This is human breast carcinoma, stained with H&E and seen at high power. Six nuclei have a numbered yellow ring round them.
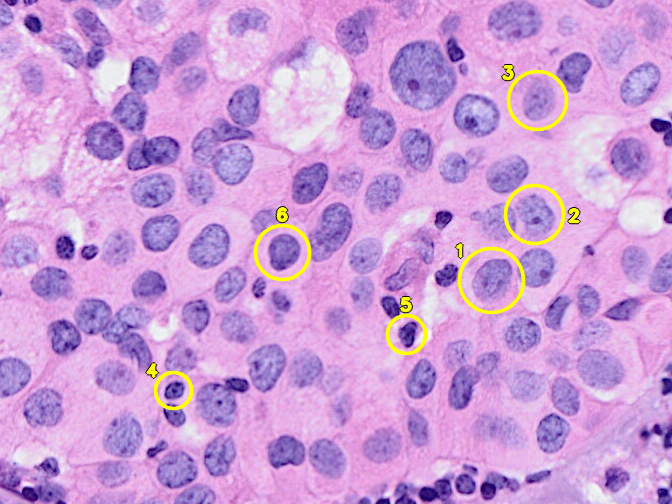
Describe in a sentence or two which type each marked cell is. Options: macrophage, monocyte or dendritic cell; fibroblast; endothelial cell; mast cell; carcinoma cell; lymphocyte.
Cell 1 is a carcinoma cell, cell 2 is a carcinoma cell, cell 3 is a carcinoma cell, cell 4 is a lymphocyte, cell 5 is a lymphocyte and cell 6 is a carcinoma cell.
